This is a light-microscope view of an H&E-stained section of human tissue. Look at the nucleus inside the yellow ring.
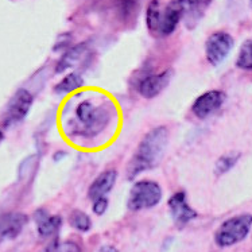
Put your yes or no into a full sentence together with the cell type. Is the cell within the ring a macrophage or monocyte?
Yes, the cell within the ring is one that is classed as a macrophage or monocyte.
